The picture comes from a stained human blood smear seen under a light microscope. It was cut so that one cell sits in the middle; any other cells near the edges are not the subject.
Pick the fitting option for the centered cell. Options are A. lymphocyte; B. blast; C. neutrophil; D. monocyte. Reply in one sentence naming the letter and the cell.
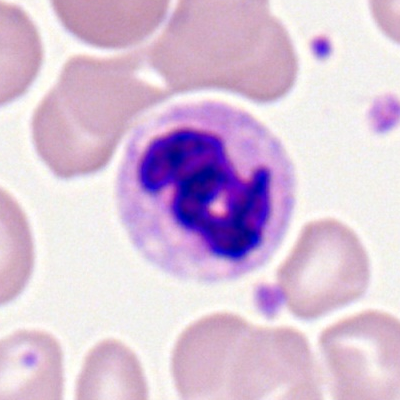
Well, the cell in the middle is a neutrophil, making option C right.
